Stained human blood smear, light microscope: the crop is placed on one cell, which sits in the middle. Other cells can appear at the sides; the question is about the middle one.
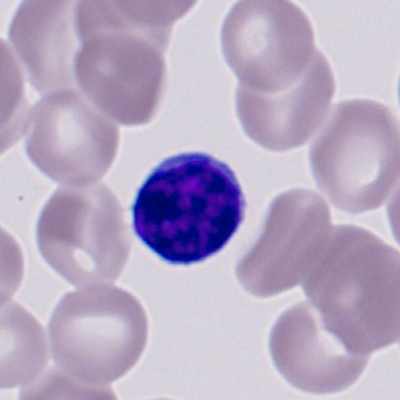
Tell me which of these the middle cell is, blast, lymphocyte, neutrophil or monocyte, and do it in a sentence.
The middle of this crop holds a lymphocyte.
